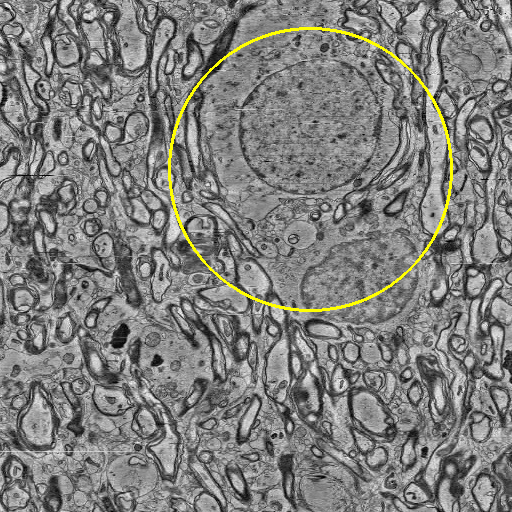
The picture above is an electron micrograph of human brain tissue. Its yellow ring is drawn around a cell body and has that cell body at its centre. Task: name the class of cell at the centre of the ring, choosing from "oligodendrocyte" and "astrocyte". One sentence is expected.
The ring surrounds the body of an astrocyte.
